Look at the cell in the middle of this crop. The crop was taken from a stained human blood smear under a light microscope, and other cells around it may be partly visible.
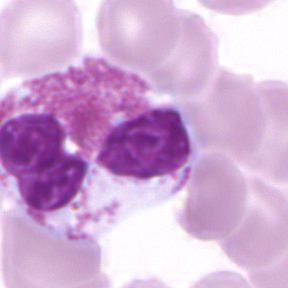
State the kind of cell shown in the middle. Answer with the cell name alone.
eosinophil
